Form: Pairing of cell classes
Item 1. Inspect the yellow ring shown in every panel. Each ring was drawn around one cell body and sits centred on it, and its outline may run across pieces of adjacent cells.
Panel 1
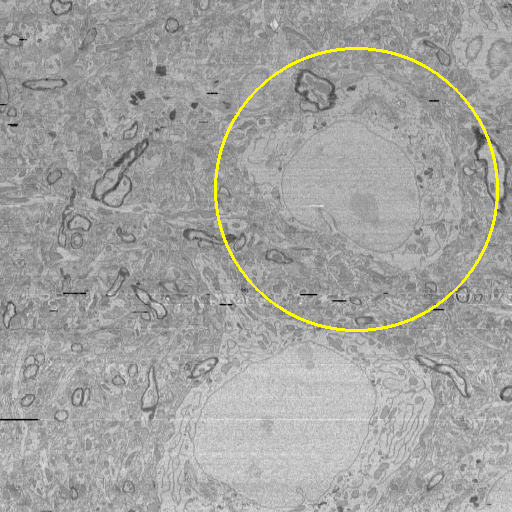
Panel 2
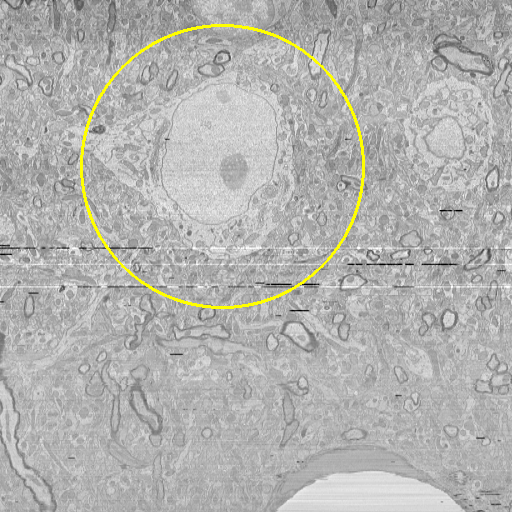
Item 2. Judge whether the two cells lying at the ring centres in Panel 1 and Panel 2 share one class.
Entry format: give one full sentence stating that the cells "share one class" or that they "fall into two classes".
The cells at the ring centres in Panel 1 and Panel 2 share one class.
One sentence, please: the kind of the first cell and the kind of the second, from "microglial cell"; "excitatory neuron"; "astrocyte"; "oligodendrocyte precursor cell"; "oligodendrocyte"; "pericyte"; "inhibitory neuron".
Each cell, in the first picture and the second, is an excitatory neuron.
